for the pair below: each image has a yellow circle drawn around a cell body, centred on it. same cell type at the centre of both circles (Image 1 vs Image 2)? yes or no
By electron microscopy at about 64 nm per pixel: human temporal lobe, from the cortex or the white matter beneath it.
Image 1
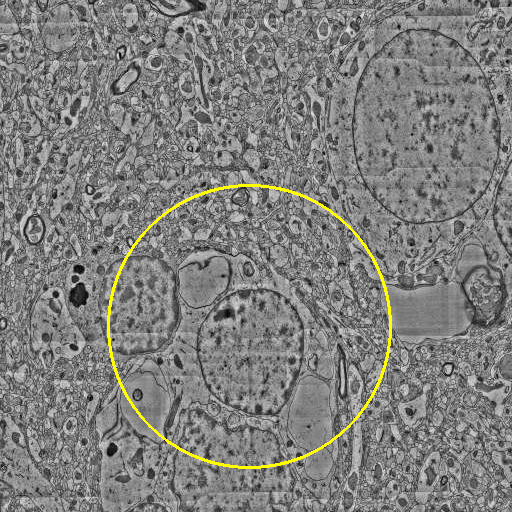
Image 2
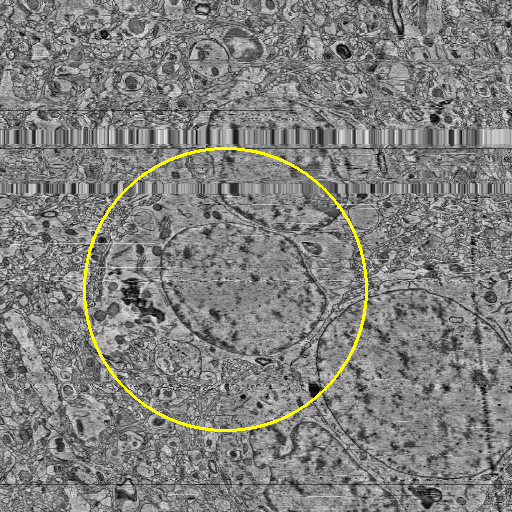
yes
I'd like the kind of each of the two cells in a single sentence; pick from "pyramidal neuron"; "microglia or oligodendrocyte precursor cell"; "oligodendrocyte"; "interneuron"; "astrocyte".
Both rings mark an astrocyte, one in each picture.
